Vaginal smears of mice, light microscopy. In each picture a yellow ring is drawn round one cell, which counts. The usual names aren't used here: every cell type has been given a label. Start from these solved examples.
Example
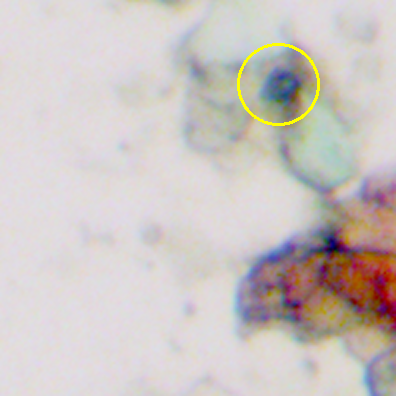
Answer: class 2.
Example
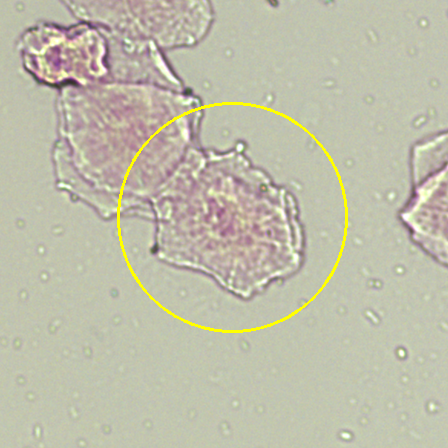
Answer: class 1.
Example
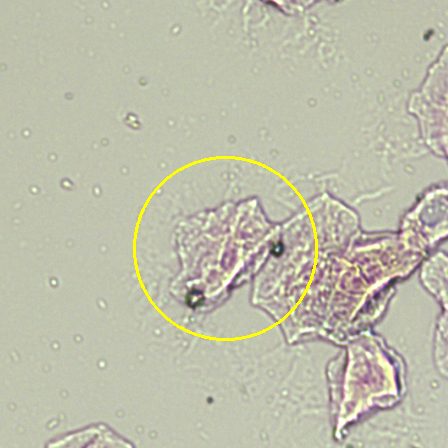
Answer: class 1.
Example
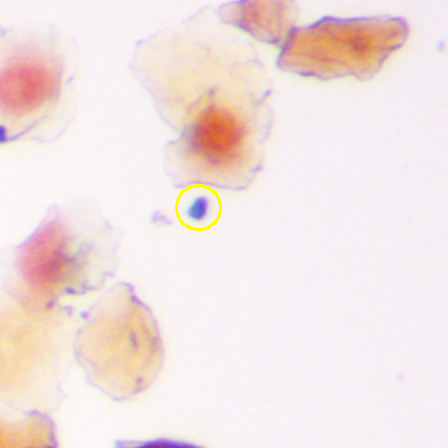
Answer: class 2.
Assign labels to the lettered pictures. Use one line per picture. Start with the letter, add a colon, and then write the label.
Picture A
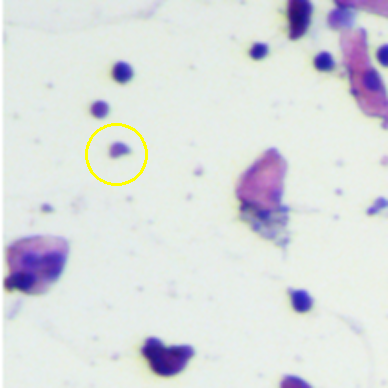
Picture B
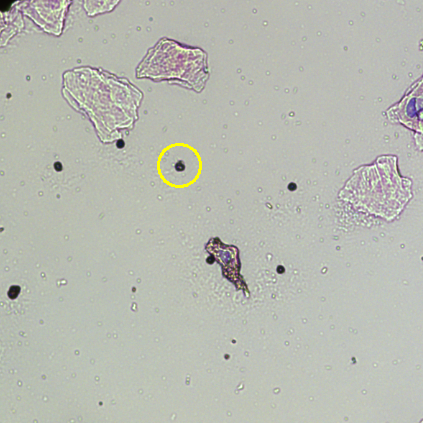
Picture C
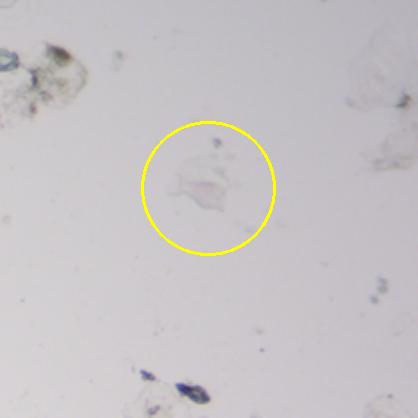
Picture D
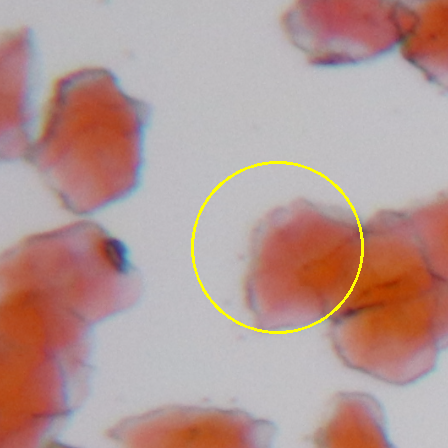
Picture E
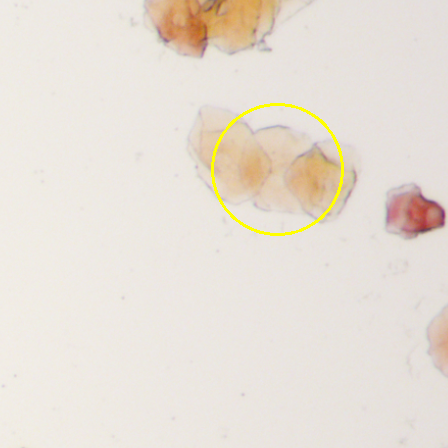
A: class 2.
B: class 2.
C: class 1.
D: class 1.
E: class 1.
